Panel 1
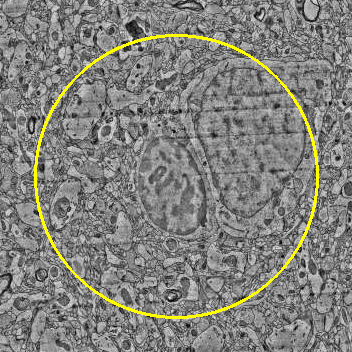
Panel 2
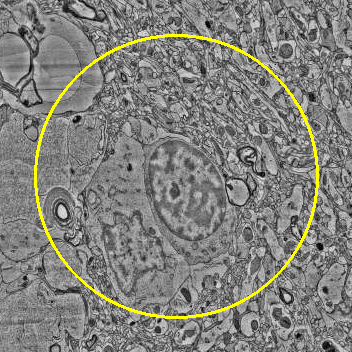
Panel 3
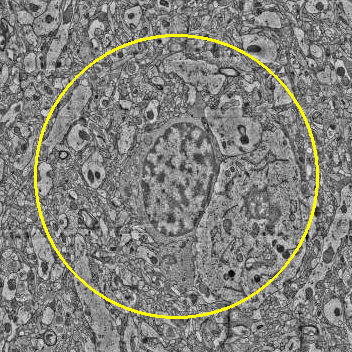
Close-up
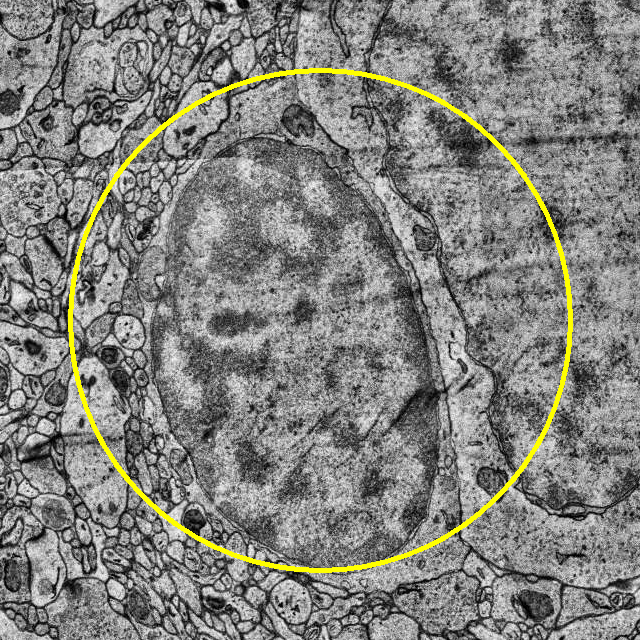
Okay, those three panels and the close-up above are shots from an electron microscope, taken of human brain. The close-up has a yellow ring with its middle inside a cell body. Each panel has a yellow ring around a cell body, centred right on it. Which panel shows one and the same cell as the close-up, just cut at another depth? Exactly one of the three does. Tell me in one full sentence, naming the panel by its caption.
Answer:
The cell seen up close is the one ringed within Panel 1.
